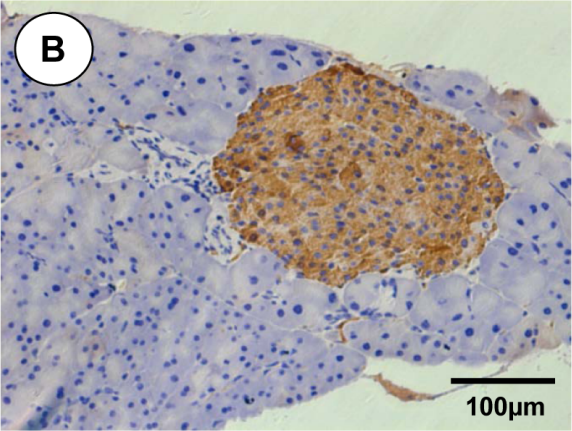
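This is pancreatic tissue with a large, oval pancreatic islet lying within exocrine acinar tissue. Nearly all of the islet cells have evenly brown cytoplasm around round blue nuclei, so the islet stains fairly uniformly. The islet is sharply set off from the paler blue-grey acinar cells around it, and a strip of loose connective tissue with small nuclei runs along one side of it.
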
